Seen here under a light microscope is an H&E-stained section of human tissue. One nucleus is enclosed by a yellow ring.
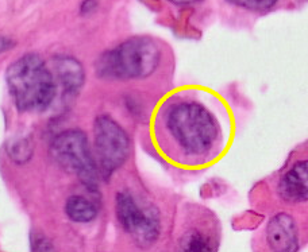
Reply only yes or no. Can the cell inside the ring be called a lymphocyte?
no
